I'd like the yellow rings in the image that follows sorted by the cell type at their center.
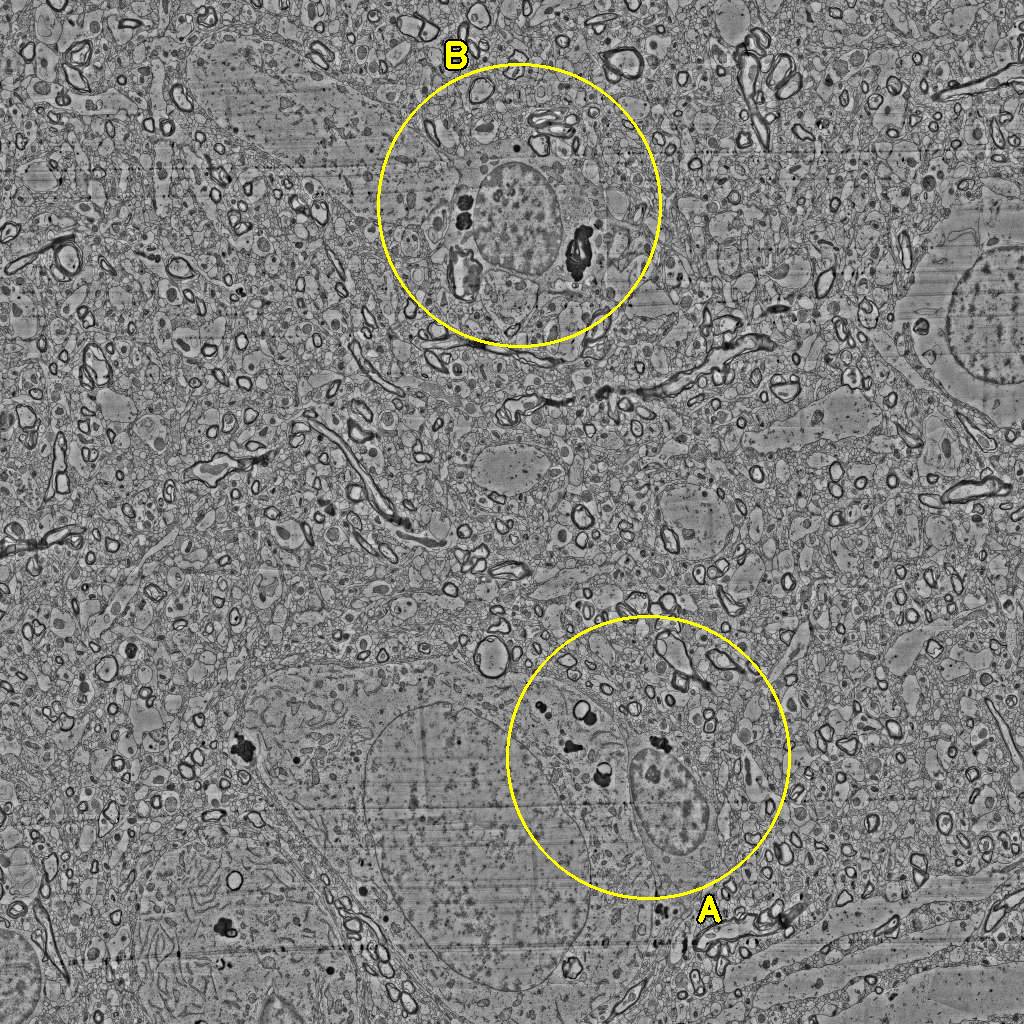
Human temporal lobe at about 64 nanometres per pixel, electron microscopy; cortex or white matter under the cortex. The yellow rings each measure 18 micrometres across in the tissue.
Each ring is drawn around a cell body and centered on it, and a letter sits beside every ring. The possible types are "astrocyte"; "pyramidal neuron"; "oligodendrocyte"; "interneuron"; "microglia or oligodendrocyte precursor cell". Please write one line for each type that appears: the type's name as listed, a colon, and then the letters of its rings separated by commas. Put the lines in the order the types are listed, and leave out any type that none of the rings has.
oligodendrocyte: A, B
